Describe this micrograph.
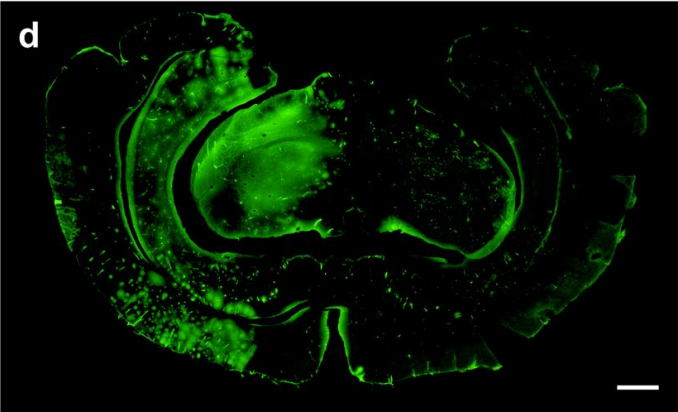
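Low-magnification coronal section of brain in which green fluorescence is distributed asymmetrically between the two hemispheres. On the left of the image, a broad diffuse green haze fills the parenchyma around the curved hippocampal band, and many bright green puncta and patches lie scattered through the adjacent tissue. On the right, the parenchyma is largely dark, with only fine scattered green dots. Thin bright green lines trace the outer section edge, the curved hippocampal layers and the midline surfaces on both sides. Individual cells cannot be resolved at this scale. Only the architecture of the whole section is seen.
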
